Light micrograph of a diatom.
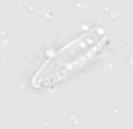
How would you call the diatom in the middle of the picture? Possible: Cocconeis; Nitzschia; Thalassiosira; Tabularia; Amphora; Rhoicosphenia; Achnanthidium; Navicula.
I would call it Nitzschia.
